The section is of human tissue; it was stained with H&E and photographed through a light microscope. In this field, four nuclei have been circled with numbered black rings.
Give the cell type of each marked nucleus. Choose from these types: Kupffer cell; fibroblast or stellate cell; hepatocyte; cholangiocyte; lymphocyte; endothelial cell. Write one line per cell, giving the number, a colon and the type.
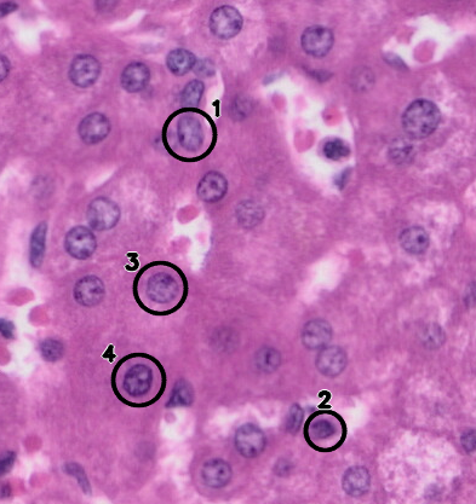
1: cholangiocyte
2: Kupffer cell
3: hepatocyte
4: hepatocyte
